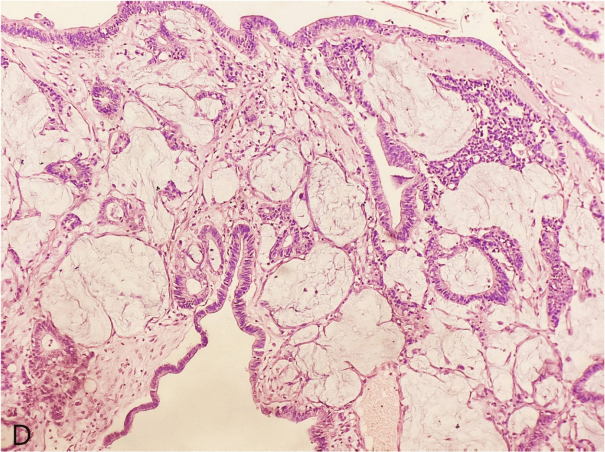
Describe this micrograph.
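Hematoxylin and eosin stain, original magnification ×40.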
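The field is dominated by large pools of pale, faintly staining extracellular mucin separated by thin fibrous septa. Small round glands lined by a single layer of cuboidal cells are scattered among the pools. A row of columnar epithelium runs along the upper surface and down into a cleft. Denser clusters of cells appear at the upper right.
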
